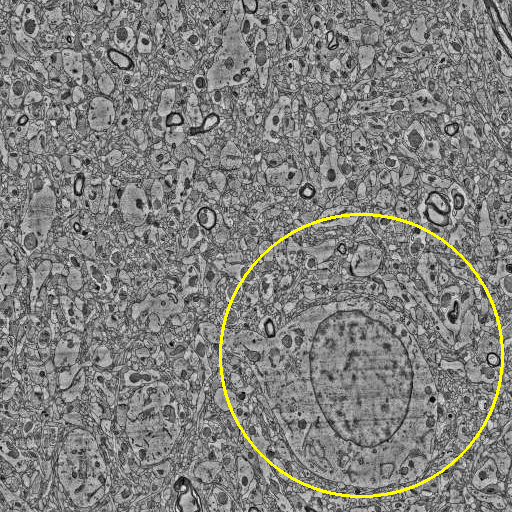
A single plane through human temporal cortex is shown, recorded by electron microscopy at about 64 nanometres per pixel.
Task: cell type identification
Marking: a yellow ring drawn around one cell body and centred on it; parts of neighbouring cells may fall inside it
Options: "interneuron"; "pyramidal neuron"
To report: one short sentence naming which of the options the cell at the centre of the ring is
The cell at the centre of the ring is a pyramidal neuron.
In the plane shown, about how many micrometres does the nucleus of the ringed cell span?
The nucleus is approximately 9 micrometers long by 6 micrometers wide in this plane.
